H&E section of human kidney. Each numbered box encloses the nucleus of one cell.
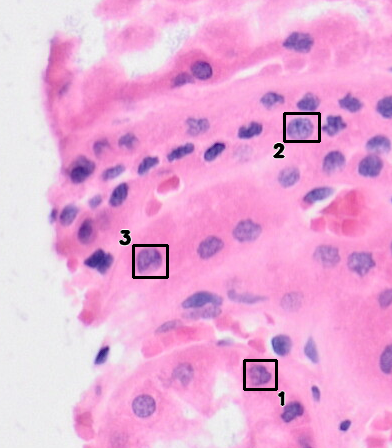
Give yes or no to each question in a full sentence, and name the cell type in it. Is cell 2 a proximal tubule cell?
No, number 2 belongs to a loop of Henle or distal tubule cell, not to a proximal tubule cell.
